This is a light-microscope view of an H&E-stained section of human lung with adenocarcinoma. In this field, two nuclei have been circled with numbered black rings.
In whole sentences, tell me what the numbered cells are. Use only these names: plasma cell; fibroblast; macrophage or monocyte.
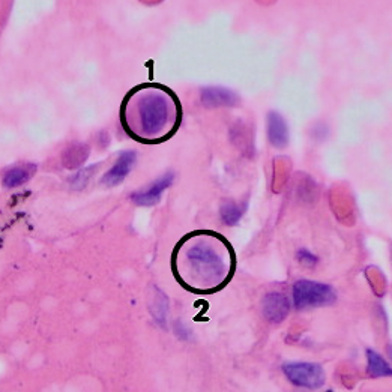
Cell 1 is a plasma cell and cell 2 is a fibroblast.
